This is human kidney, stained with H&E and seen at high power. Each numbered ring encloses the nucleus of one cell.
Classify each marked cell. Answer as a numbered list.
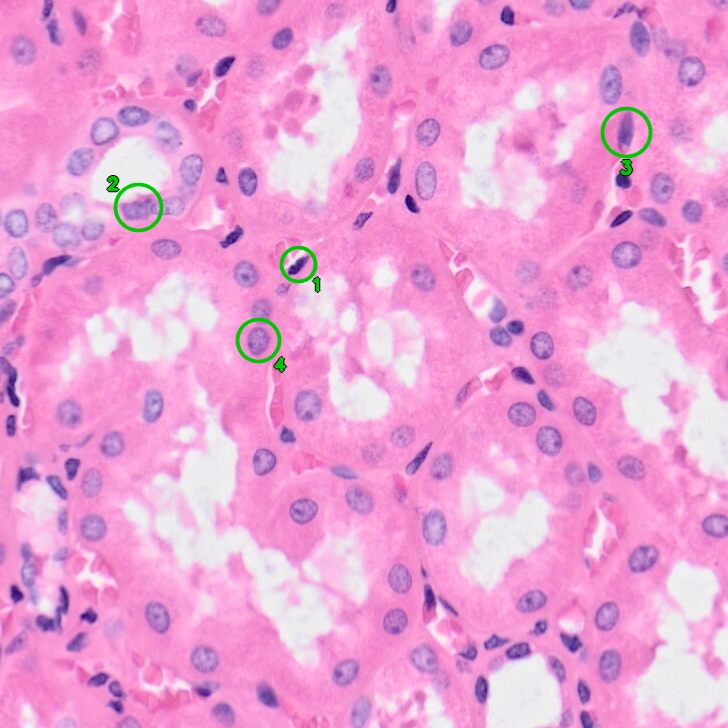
1. endothelial cell
2. collecting duct cell
3. endothelial cell
4. proximal tubule cell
